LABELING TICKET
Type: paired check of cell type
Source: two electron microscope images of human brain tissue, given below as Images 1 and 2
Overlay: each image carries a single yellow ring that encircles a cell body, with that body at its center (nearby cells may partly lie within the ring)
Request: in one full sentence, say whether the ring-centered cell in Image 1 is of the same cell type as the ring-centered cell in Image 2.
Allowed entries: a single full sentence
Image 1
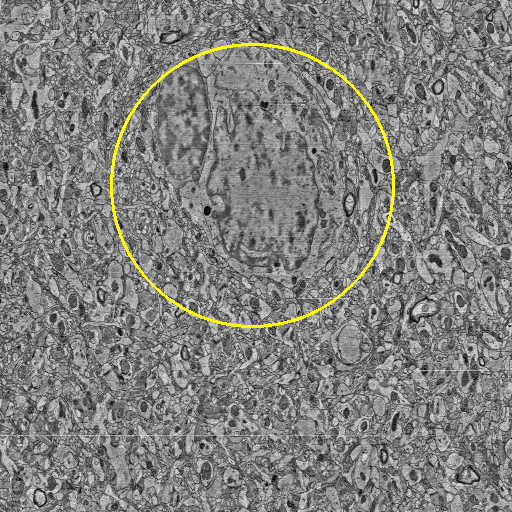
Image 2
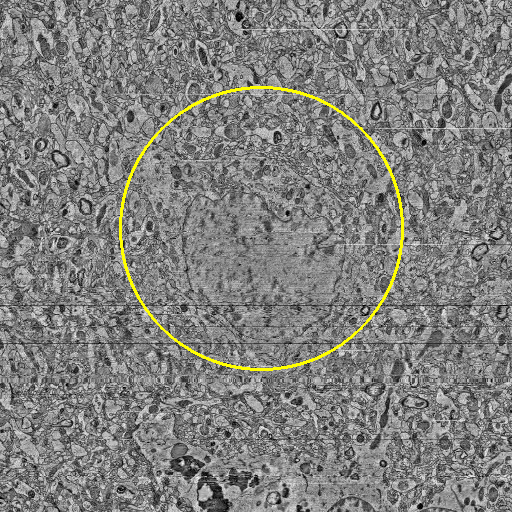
Yes, the cells centered in the rings of Image 1 and Image 2 share one type.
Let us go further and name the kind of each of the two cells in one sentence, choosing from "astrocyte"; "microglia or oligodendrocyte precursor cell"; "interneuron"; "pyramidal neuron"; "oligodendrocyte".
Both rings mark an interneuron, one in each picture.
